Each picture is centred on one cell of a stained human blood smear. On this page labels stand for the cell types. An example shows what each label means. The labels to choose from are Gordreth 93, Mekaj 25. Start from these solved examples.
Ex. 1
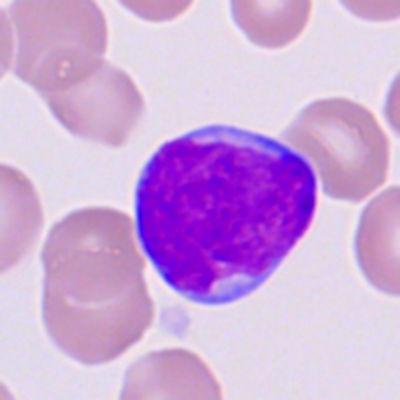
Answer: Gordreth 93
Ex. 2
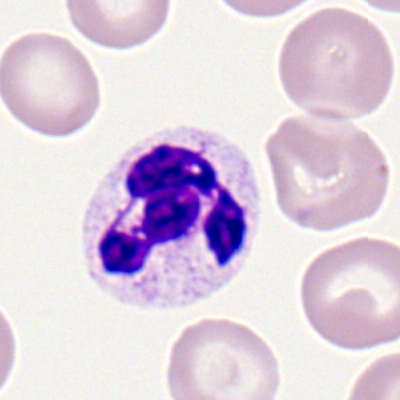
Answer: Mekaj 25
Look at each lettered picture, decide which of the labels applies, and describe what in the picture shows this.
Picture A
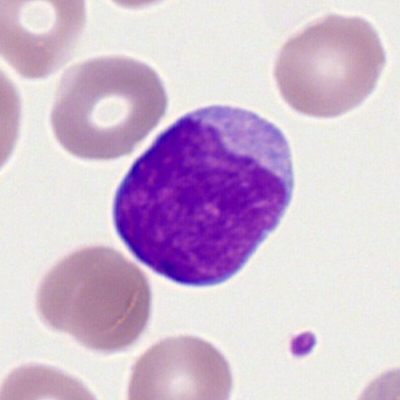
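Gordreth 93. Reason: The nucleus fills most of the cell.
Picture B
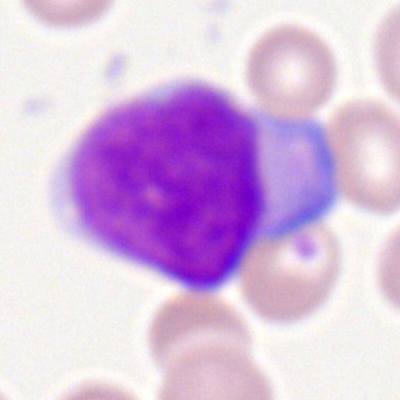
Gordreth 93. Reason: The nucleus fills most of the cell.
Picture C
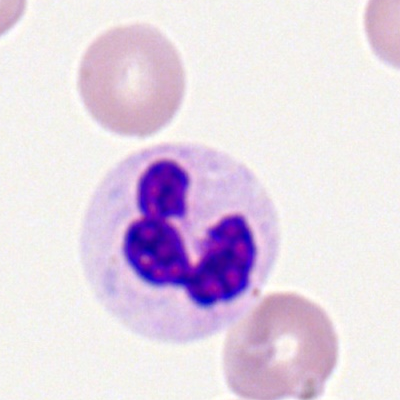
Mekaj 25. Reason: The cytoplasm is abundant and pale pinkish-lilac.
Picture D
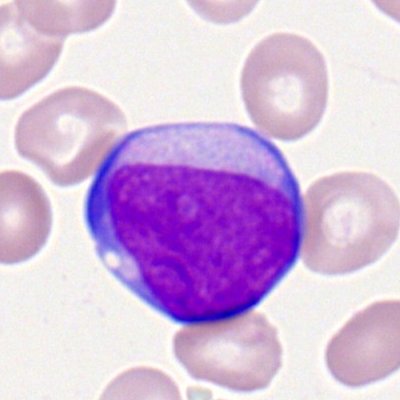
Gordreth 93. Reason: The nucleus fills most of the cell and has a nearly straight upper border.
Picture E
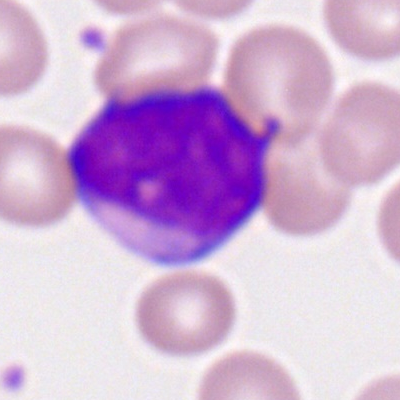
Gordreth 93. Reason: The nucleus is a single unlobed mass that fills most of the cell.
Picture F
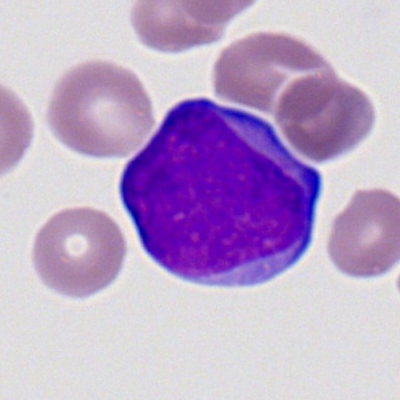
Gordreth 93. Reason: The cytoplasm is deep blue.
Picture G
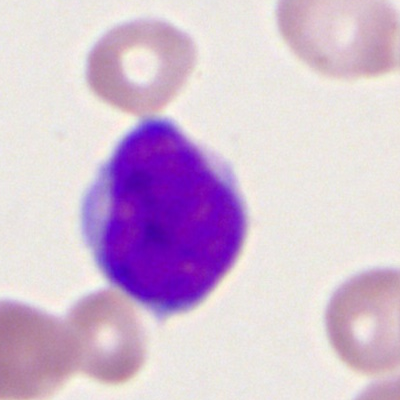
Gordreth 93. Reason: The nucleus is a single unlobed mass that fills most of the cell.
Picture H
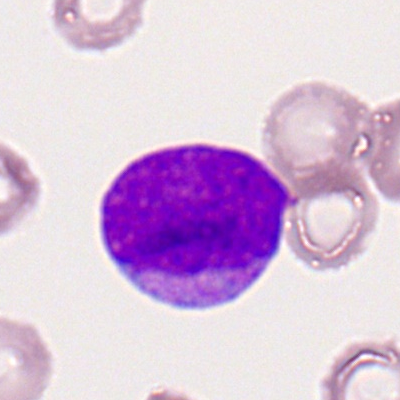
Gordreth 93. Reason: The nucleus fills most of the cell.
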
